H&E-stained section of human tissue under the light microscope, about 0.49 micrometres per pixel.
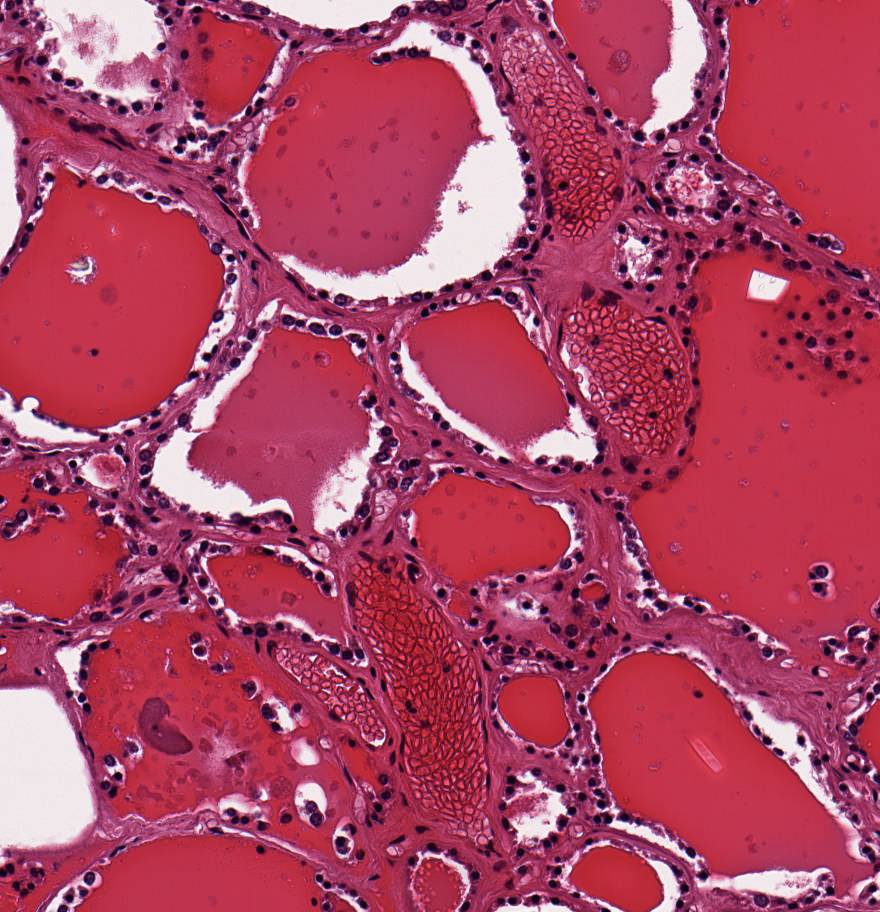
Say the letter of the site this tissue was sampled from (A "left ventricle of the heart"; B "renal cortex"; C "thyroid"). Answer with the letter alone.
C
